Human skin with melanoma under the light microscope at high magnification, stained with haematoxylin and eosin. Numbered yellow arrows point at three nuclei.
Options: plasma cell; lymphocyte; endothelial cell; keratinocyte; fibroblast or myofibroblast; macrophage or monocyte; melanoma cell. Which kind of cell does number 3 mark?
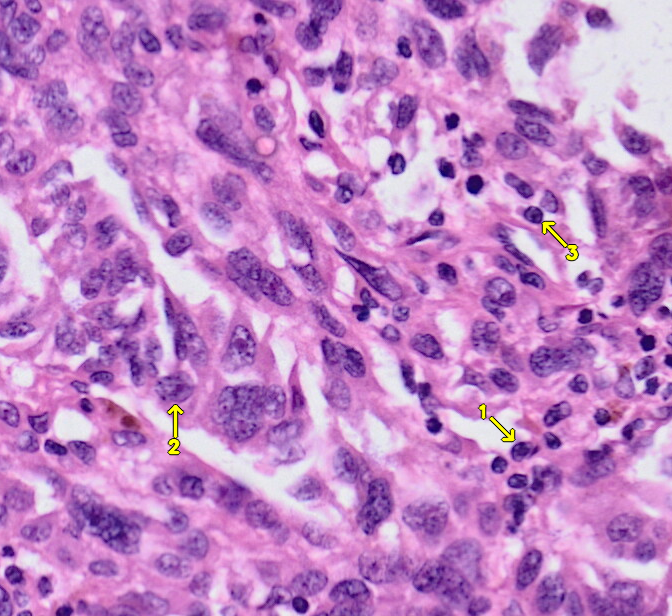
lymphocyte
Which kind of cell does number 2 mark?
melanoma cell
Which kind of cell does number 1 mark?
lymphocyte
